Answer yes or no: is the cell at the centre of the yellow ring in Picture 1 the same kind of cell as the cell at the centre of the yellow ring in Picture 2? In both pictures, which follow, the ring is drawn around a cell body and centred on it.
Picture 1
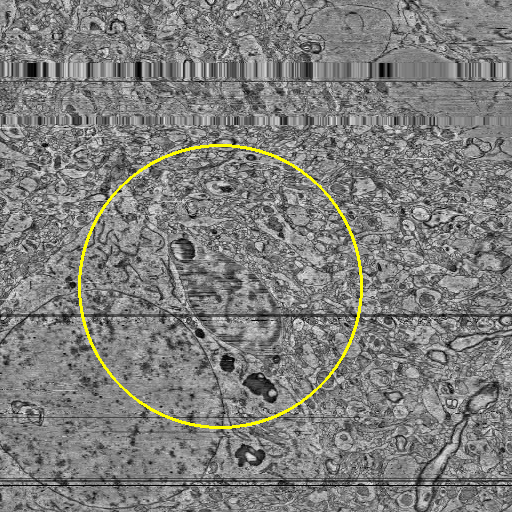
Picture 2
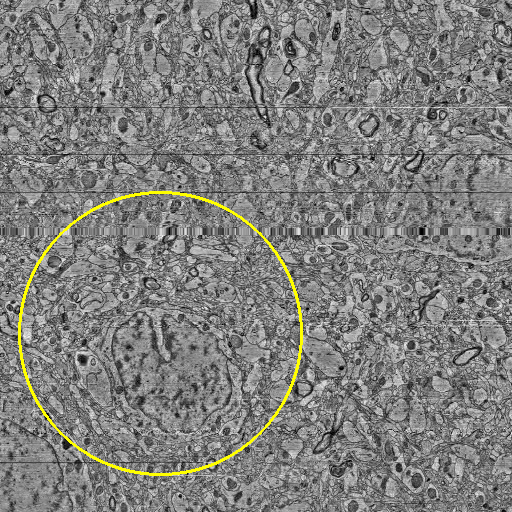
no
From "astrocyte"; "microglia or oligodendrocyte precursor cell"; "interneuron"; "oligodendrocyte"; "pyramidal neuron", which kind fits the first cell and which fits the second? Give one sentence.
The cell marked in the first picture is an oligodendrocyte, and the one marked in the second is an interneuron.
